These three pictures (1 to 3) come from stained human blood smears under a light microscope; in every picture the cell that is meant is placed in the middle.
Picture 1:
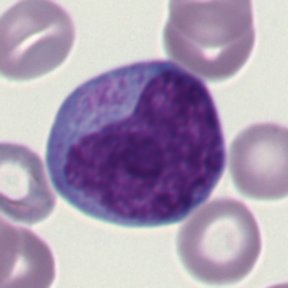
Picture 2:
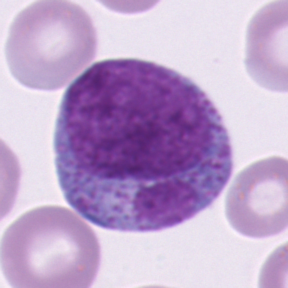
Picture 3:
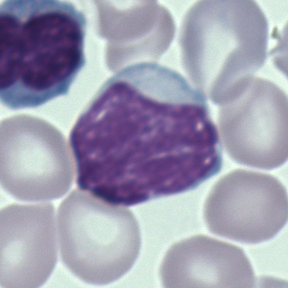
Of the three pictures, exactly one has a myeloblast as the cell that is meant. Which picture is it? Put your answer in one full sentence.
The myeloblast is the one in picture 3.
